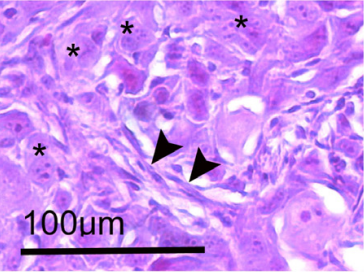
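Tumour tissue made of pleomorphic, ovoid cells together with a population of spindle cells. The ovoid cells are large, with abundant pink cytoplasm and nuclei of varying size and shape, some with prominent nucleoli. Between them run slender, elongated spindle cells with narrow dark nuclei, forming streams that separate the larger cells into loose groups. Small clear spaces lie scattered through the tissue. The cell sizes and shapes are markedly uneven across the field.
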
